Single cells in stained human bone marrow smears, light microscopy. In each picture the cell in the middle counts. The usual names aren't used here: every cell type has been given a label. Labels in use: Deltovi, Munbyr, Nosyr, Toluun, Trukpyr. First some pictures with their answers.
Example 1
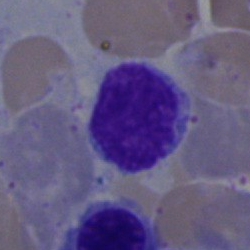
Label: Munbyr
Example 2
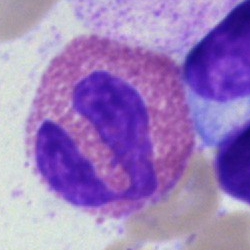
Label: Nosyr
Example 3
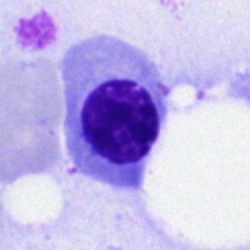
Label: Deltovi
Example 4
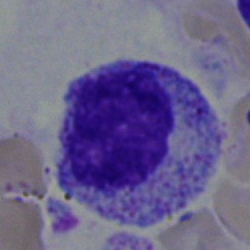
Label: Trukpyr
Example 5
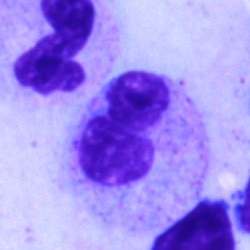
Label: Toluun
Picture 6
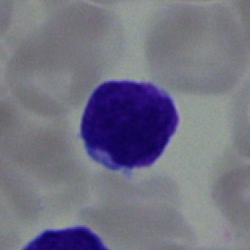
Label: Munbyr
